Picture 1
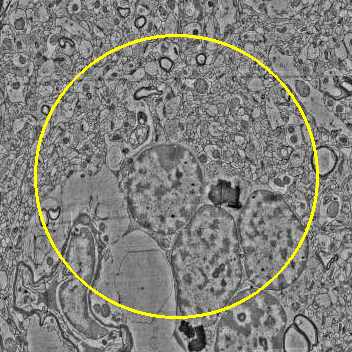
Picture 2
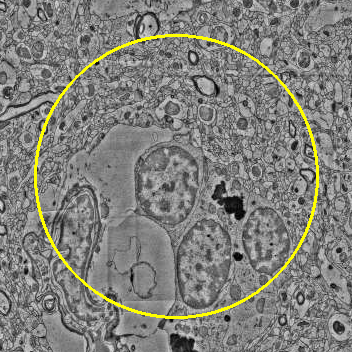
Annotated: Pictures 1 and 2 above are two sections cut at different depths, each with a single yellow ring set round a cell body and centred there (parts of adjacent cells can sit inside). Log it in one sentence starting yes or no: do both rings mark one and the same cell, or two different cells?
Yes, both rings are placed on a single cell.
